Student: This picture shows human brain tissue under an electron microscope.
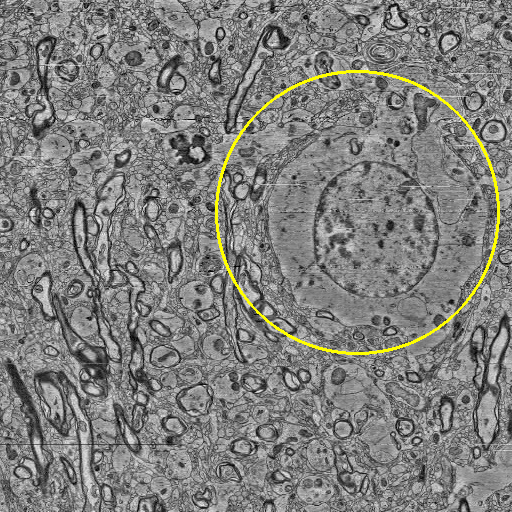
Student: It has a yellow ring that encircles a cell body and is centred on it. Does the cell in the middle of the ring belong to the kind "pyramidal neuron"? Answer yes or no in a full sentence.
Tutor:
No, the cell in the middle of the ring in this picture is of another kind.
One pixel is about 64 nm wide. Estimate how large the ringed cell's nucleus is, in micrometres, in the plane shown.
Roughly 9 by 8 micrometres in this plane, for the nucleus of the ringed cell.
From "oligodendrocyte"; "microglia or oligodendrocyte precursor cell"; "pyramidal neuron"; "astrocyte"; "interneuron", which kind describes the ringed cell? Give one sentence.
It is an astrocyte at the centre of the ring.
